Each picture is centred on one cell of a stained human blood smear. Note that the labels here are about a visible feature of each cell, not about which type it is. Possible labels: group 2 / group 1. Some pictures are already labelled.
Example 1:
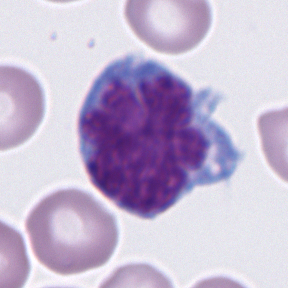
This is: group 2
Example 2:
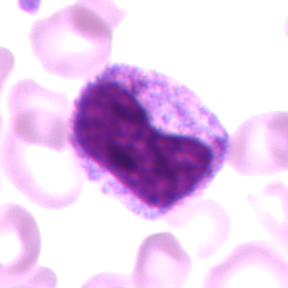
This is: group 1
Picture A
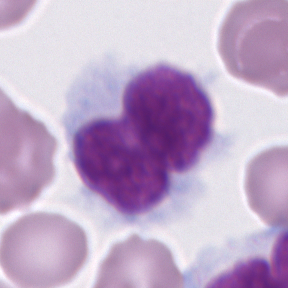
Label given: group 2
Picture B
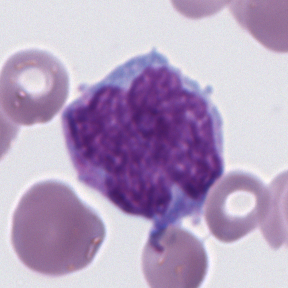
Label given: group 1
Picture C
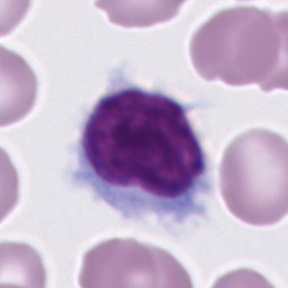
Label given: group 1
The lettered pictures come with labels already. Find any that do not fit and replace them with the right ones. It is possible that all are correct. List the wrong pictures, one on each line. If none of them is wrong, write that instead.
B should be group 2, not group 1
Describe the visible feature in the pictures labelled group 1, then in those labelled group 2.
group 1: single compact nucleus; group 2: lobed nucleus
